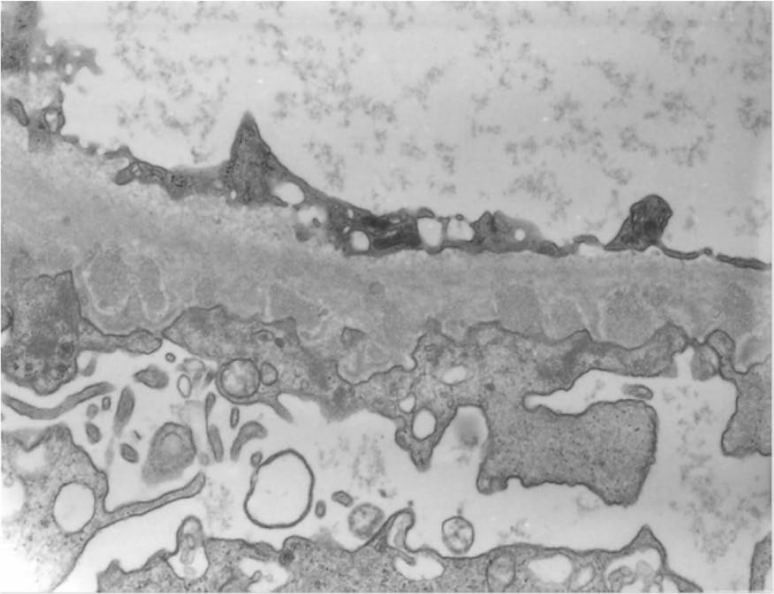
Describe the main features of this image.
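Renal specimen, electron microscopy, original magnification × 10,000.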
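At higher power we see one stretch of the glomerular capillary wall. At the top is the capillary lumen with pale, flocculent plasma, bounded by a thin, dark endothelial layer with small bulges. Beneath it lies a thick band of basement membrane, grey and finely granular, with rounded paler and darker patches along its lower side. These lie under the epithelial cells, which occupy the bottom: their cytoplasm spreads broadly along the membrane rather than as neat separate foot processes, and many small rounded and elongated processes are cut across in the clear urinary space below.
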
